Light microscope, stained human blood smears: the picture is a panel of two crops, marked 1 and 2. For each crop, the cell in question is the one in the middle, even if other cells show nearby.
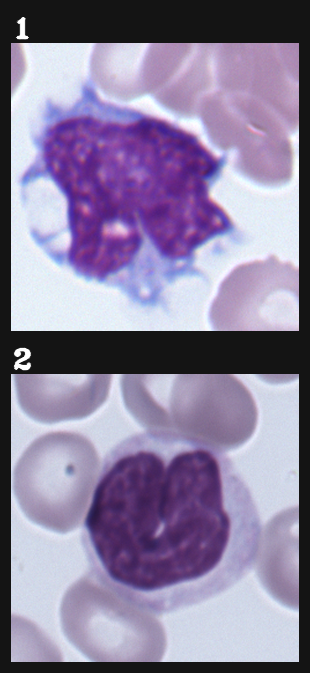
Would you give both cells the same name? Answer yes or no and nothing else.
no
